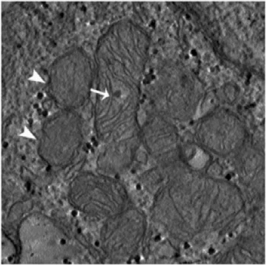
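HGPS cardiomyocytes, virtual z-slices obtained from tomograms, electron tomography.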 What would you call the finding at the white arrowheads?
Absence of cristae.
